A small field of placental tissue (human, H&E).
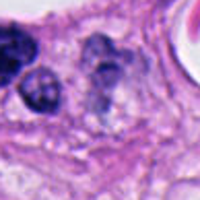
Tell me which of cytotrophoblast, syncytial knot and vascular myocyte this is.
The picture shows a cytotrophoblast.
